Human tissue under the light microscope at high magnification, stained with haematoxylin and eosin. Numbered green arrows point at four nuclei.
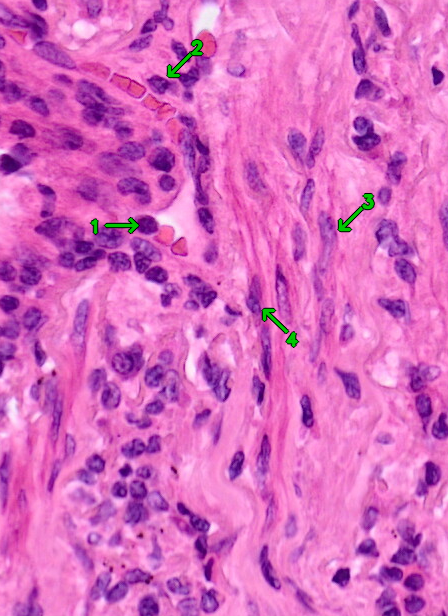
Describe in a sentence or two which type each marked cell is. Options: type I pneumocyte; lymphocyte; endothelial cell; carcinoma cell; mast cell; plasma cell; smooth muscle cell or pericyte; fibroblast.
Cell 1 is a lymphocyte, cell 2 is a lymphocyte, cell 3 is a smooth muscle cell or pericyte and cell 4 is a smooth muscle cell or pericyte.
